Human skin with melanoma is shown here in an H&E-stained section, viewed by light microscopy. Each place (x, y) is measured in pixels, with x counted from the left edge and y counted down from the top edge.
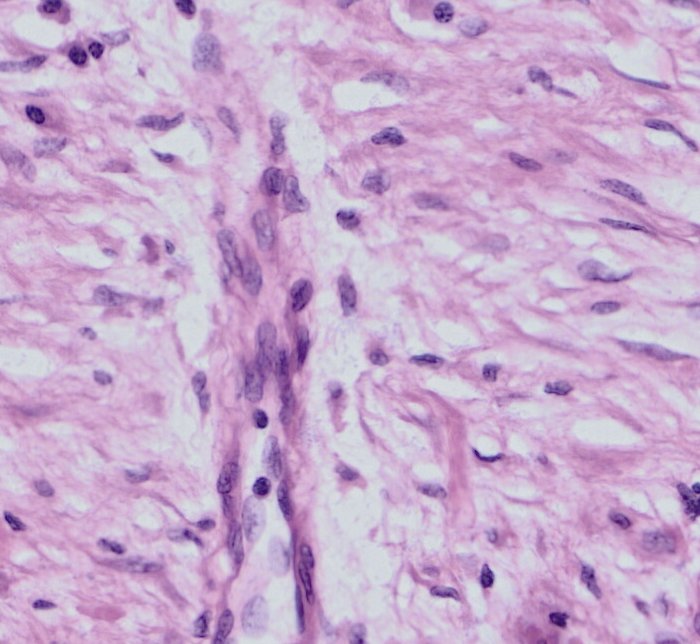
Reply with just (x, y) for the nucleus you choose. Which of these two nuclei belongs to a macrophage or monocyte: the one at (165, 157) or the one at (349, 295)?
(349, 295)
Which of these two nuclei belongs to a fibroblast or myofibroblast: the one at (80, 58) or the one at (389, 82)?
(389, 82)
